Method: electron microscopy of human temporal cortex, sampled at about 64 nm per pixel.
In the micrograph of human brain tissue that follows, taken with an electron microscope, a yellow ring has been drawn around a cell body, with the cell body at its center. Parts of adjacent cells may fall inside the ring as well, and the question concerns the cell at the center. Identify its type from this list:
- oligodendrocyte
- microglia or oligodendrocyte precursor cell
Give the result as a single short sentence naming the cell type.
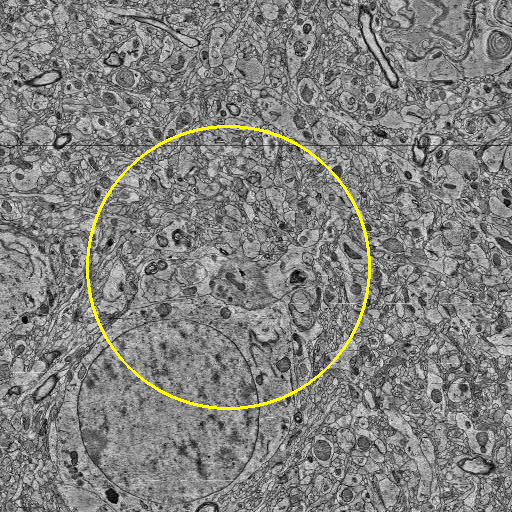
The ring is centered on an oligodendrocyte.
